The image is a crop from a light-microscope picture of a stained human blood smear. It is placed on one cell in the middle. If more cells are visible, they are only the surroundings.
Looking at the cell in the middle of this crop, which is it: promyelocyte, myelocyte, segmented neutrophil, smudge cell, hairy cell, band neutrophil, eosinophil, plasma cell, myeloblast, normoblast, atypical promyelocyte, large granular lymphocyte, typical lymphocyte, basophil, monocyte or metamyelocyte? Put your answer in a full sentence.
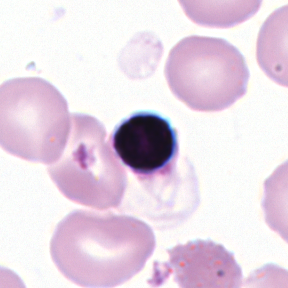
The centrally positioned cell in the crop represents a normoblast.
